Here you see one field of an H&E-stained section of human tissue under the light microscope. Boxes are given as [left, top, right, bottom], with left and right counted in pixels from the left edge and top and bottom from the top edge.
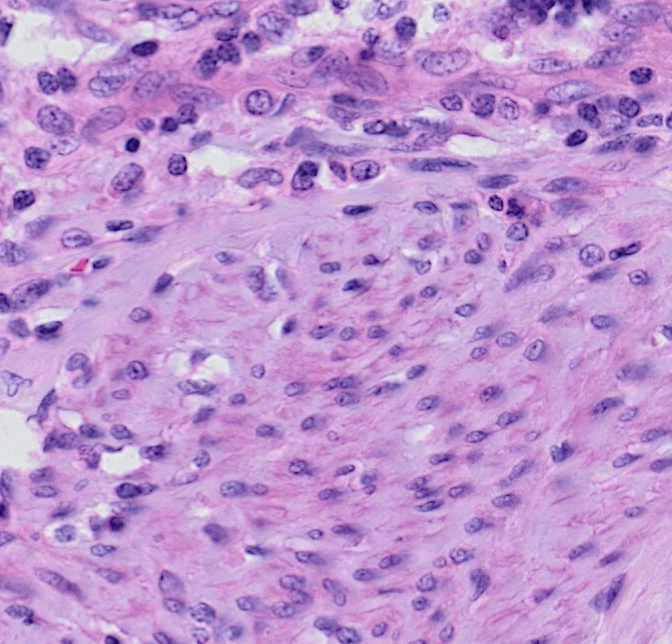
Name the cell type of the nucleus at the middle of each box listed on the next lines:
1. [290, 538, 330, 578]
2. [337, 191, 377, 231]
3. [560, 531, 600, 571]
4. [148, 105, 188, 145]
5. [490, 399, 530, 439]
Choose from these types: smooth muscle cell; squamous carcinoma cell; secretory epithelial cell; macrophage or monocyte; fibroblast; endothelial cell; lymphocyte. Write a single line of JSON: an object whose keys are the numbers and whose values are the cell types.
{"1": "smooth muscle cell", "2": "lymphocyte", "3": "smooth muscle cell", "4": "lymphocyte", "5": "smooth muscle cell"}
